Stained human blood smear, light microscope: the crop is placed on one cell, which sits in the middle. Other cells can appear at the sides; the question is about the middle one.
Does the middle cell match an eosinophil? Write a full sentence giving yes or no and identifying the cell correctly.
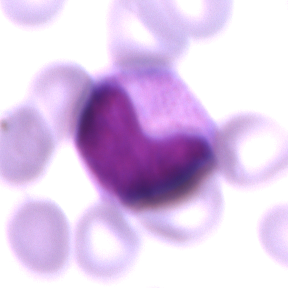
No, the cell in the middle is a band neutrophil; it is not an eosinophil.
